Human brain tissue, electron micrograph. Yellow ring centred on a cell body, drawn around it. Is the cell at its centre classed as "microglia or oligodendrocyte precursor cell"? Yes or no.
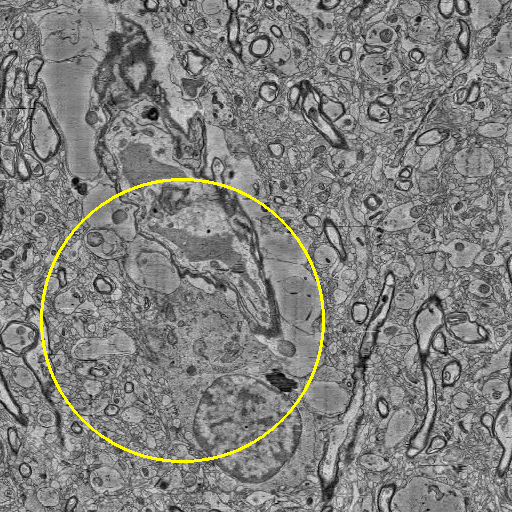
No, it is classed as another kind.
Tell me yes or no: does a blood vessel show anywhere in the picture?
Yes, one is visible.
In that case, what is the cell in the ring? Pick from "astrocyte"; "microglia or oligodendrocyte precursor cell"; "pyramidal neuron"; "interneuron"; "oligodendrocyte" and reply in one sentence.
What the ring encloses here is an oligodendrocyte.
